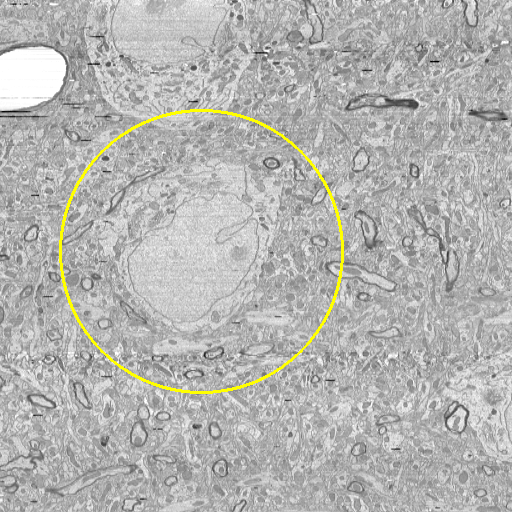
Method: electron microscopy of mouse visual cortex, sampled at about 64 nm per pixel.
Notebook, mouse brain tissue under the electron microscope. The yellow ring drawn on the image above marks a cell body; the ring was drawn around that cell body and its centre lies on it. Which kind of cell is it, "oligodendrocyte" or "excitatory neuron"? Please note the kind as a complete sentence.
The marked cell body is that of an excitatory neuron.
